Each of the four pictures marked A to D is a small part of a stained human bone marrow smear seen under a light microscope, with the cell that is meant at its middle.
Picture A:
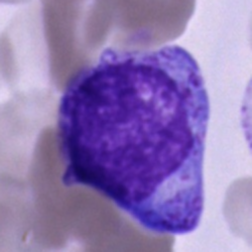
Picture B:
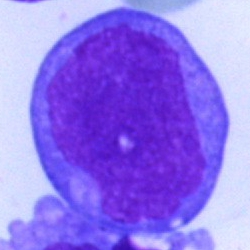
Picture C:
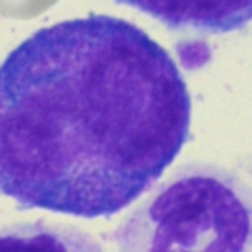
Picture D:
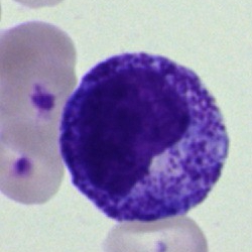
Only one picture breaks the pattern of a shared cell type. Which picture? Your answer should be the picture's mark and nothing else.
B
